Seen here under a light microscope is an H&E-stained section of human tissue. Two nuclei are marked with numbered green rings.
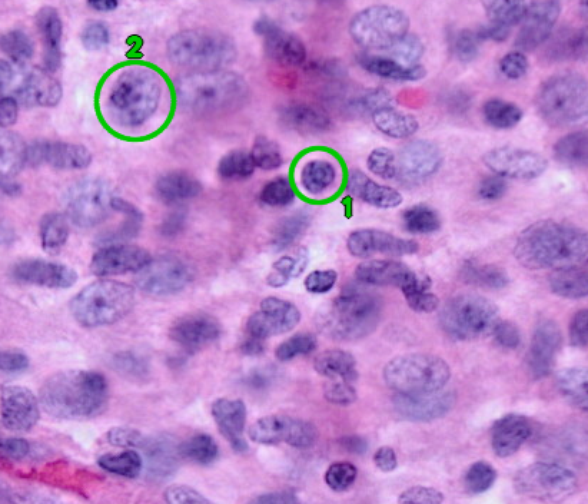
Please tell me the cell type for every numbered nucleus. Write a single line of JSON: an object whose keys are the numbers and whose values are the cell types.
{"1": "lymphocyte", "2": "fibroblast"}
